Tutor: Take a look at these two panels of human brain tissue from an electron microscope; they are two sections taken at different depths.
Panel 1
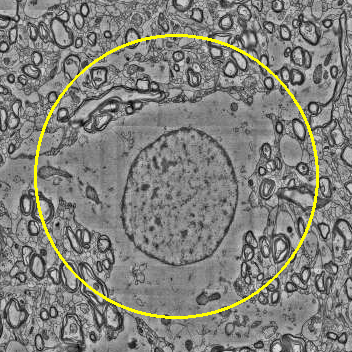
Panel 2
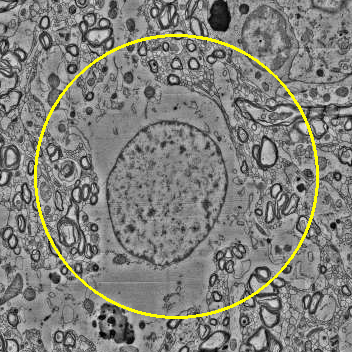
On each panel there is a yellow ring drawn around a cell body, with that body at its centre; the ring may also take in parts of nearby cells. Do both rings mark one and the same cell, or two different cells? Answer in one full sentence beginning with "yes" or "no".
No, the rings surround different cells rather than one cell.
